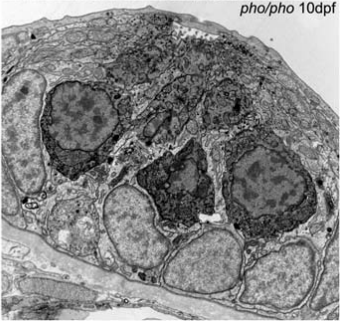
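Transmission electron micrograph of a lateral line neuromast in which dark, electron-dense hair cells with large nuclei are grouped in the centre and taper toward the apical surface. Pale supporting cells with large oval nuclei form a row along the base and flanks of the organ.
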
